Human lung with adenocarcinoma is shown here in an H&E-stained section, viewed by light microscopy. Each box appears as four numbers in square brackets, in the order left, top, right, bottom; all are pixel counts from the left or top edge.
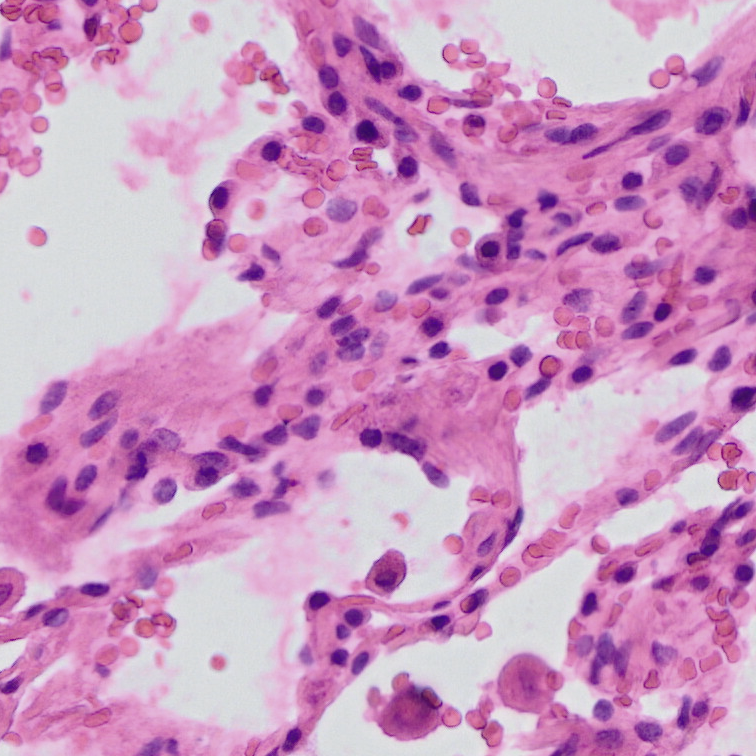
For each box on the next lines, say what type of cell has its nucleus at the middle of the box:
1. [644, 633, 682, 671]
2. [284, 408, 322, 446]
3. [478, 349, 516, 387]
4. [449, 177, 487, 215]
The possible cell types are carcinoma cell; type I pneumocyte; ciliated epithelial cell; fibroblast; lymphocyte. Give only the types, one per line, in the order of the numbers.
type I pneumocyte
type I pneumocyte
lymphocyte
type I pneumocyte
